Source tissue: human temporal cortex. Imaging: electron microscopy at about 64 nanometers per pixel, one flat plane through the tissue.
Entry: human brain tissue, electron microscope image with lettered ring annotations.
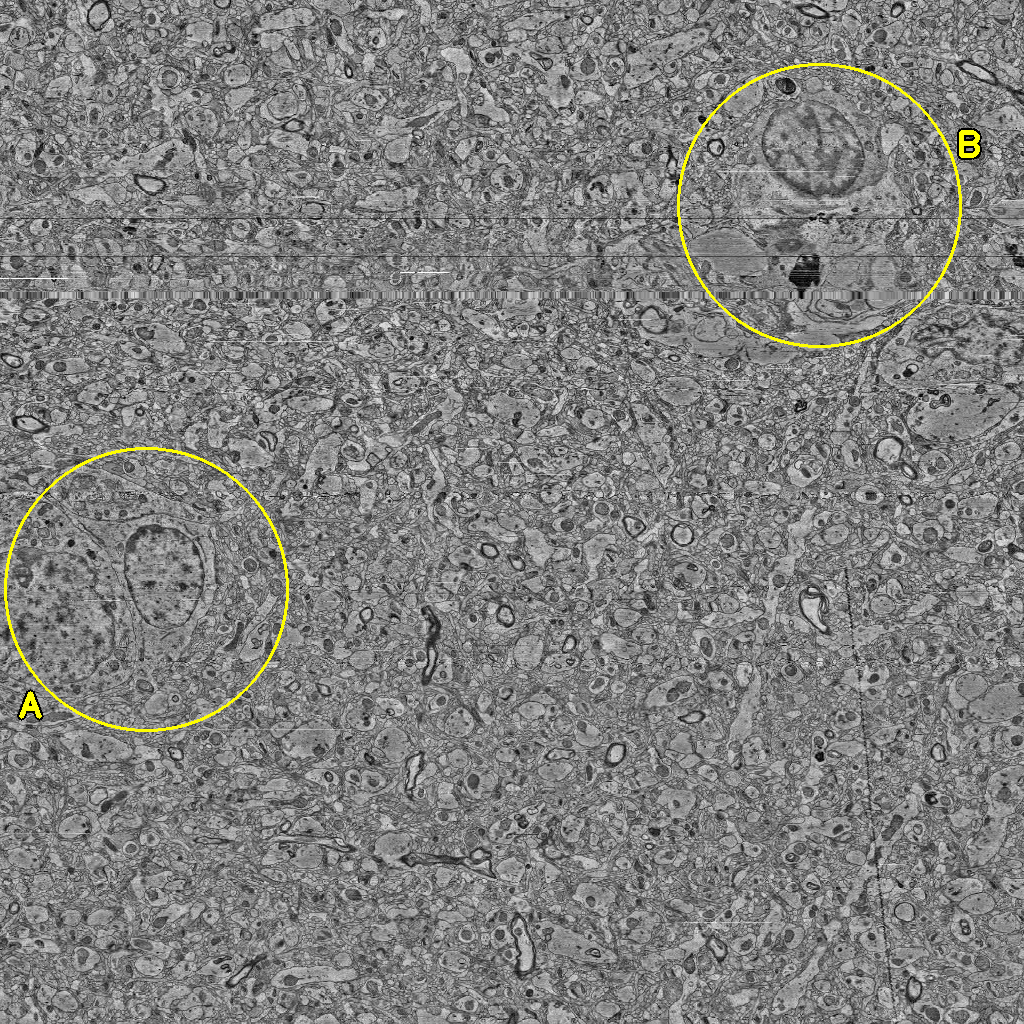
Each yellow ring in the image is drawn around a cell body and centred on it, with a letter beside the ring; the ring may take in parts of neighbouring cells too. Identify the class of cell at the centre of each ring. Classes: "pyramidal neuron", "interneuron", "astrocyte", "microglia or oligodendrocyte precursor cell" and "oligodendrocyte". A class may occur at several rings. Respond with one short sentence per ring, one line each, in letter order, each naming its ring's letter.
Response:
Ring A holds a microglial cell or oligodendrocyte precursor cell at its centre.
Ring B holds an oligodendrocyte at its centre.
